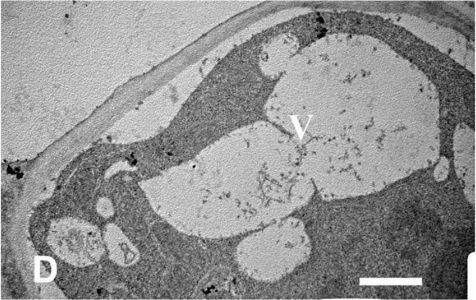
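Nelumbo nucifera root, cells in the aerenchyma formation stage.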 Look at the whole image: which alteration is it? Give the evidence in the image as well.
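Multiple small bubbles fusion into a larger one. Several pale vacuoles of different size lie close together and merge into one large irregular lucent space. Thin cytoplasm remains between the merging vacuoles.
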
